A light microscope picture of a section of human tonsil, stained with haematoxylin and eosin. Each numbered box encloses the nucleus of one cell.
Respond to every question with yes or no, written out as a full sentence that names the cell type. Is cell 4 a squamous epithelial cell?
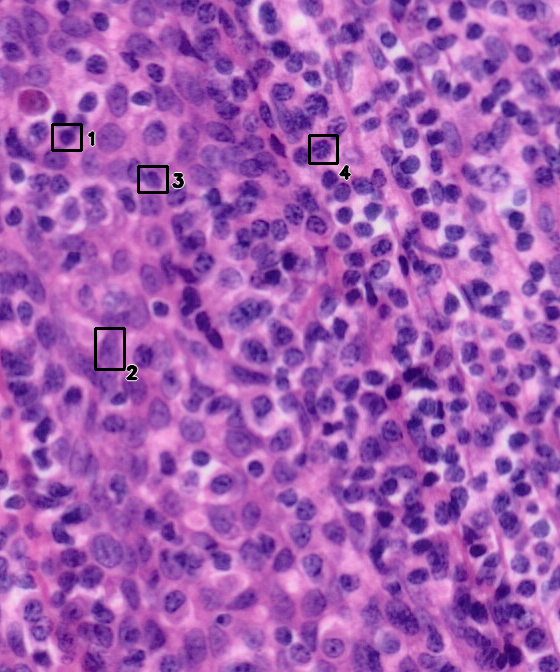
No, for cell 4, the correct identification is a plasma cell instead of a squamous epithelial cell.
